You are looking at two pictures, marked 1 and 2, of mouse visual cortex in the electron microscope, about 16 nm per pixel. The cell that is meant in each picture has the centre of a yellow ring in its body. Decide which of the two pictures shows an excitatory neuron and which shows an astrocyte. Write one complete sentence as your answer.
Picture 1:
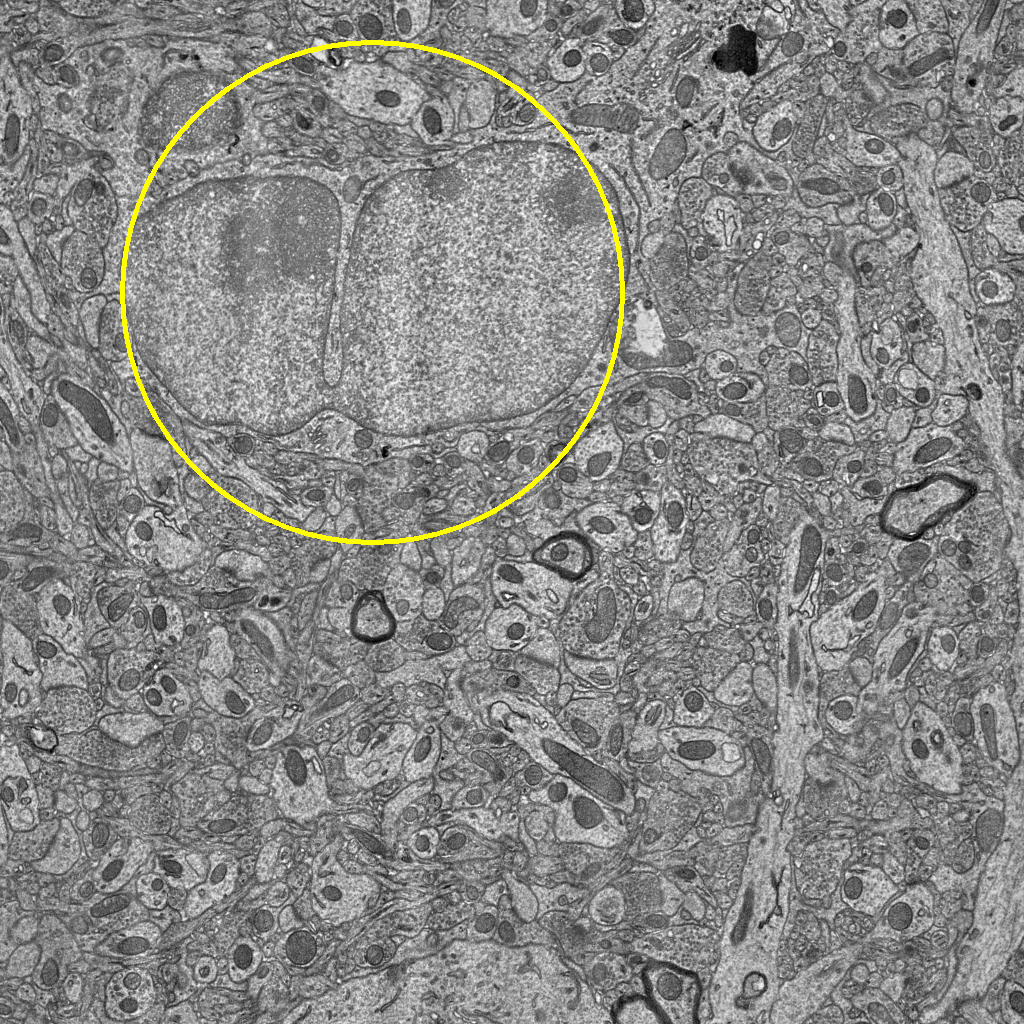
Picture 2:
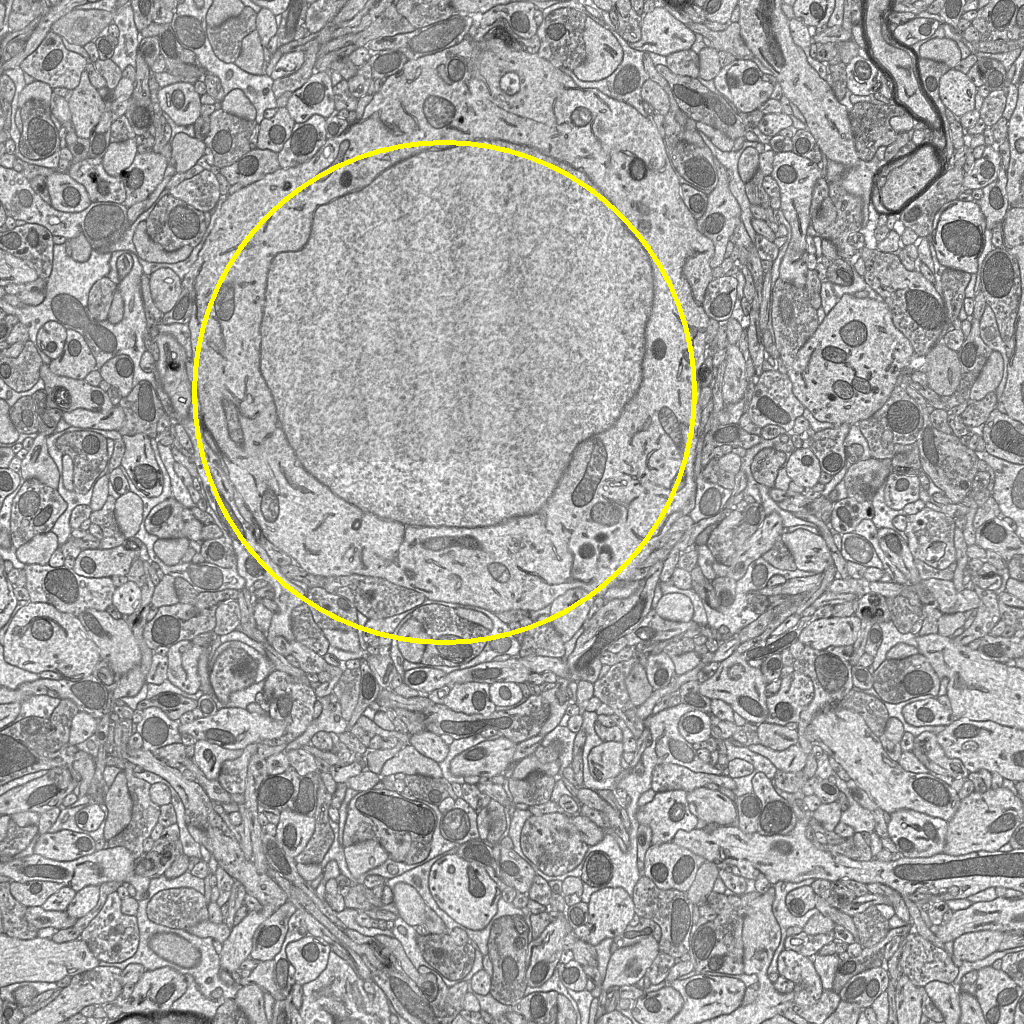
It is picture 1 that shows an astrocyte, and picture 2 that shows an excitatory neuron.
